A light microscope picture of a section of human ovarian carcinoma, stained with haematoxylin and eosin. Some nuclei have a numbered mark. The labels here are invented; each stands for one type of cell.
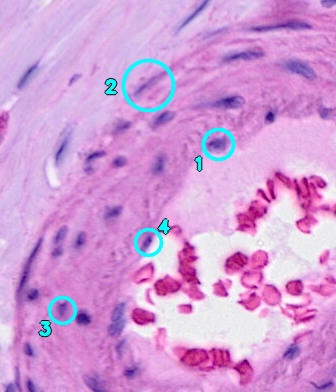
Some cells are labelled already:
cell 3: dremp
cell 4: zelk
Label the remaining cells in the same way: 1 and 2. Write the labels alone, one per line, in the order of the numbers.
zelk
dremp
